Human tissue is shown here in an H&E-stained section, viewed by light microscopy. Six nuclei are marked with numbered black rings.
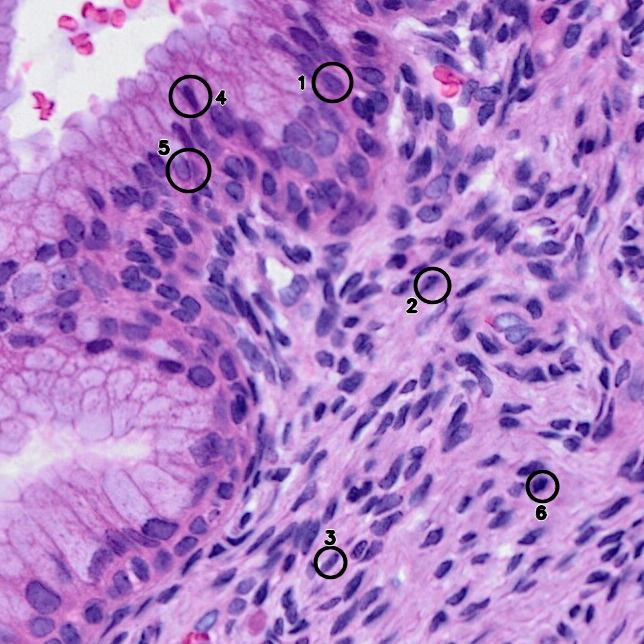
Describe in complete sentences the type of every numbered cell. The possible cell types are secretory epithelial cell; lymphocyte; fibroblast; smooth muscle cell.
Cell 1 is a secretory epithelial cell, cell 2 is a fibroblast, cell 3 is a fibroblast, cell 4 is a secretory epithelial cell, cell 5 is a secretory epithelial cell and cell 6 is a lymphocyte.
